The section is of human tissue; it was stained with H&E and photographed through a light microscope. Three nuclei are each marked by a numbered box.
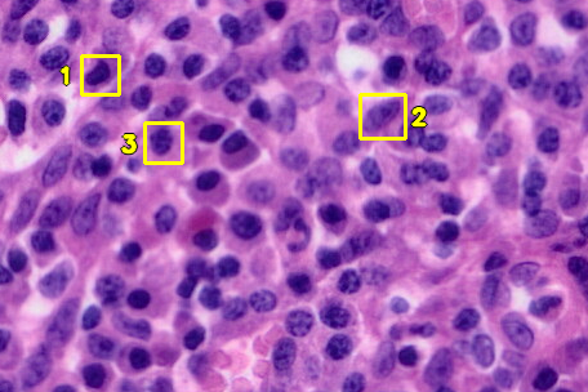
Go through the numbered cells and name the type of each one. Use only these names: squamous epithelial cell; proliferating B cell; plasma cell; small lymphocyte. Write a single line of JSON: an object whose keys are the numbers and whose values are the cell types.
{"1": "plasma cell", "2": "squamous epithelial cell", "3": "plasma cell"}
